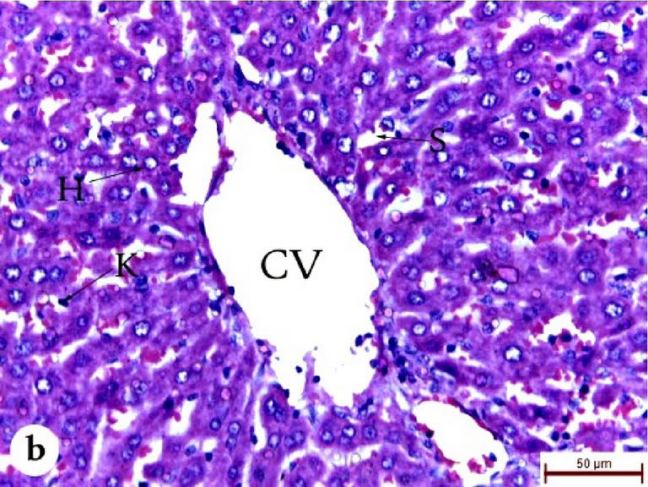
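This is liver tissue around a large central vein, with plates of hepatocytes, sinusoidal spaces and Kupffer cells. The central vein forms a wide, irregular empty lumen, with a smaller vessel lumen beside it, and its wall holds a band of small dark nuclei. The hepatocytes are polygonal with pink-purple cytoplasm and round pale nuclei with a distinct nucleolus, some cells having two nuclei. Pale sinusoidal gaps separate the plates, and red blood cells lie in several of them. Small dark, flattened nuclei lie along the sinusoids, and the hepatocyte cytoplasm shows no large clear vacuoles.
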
